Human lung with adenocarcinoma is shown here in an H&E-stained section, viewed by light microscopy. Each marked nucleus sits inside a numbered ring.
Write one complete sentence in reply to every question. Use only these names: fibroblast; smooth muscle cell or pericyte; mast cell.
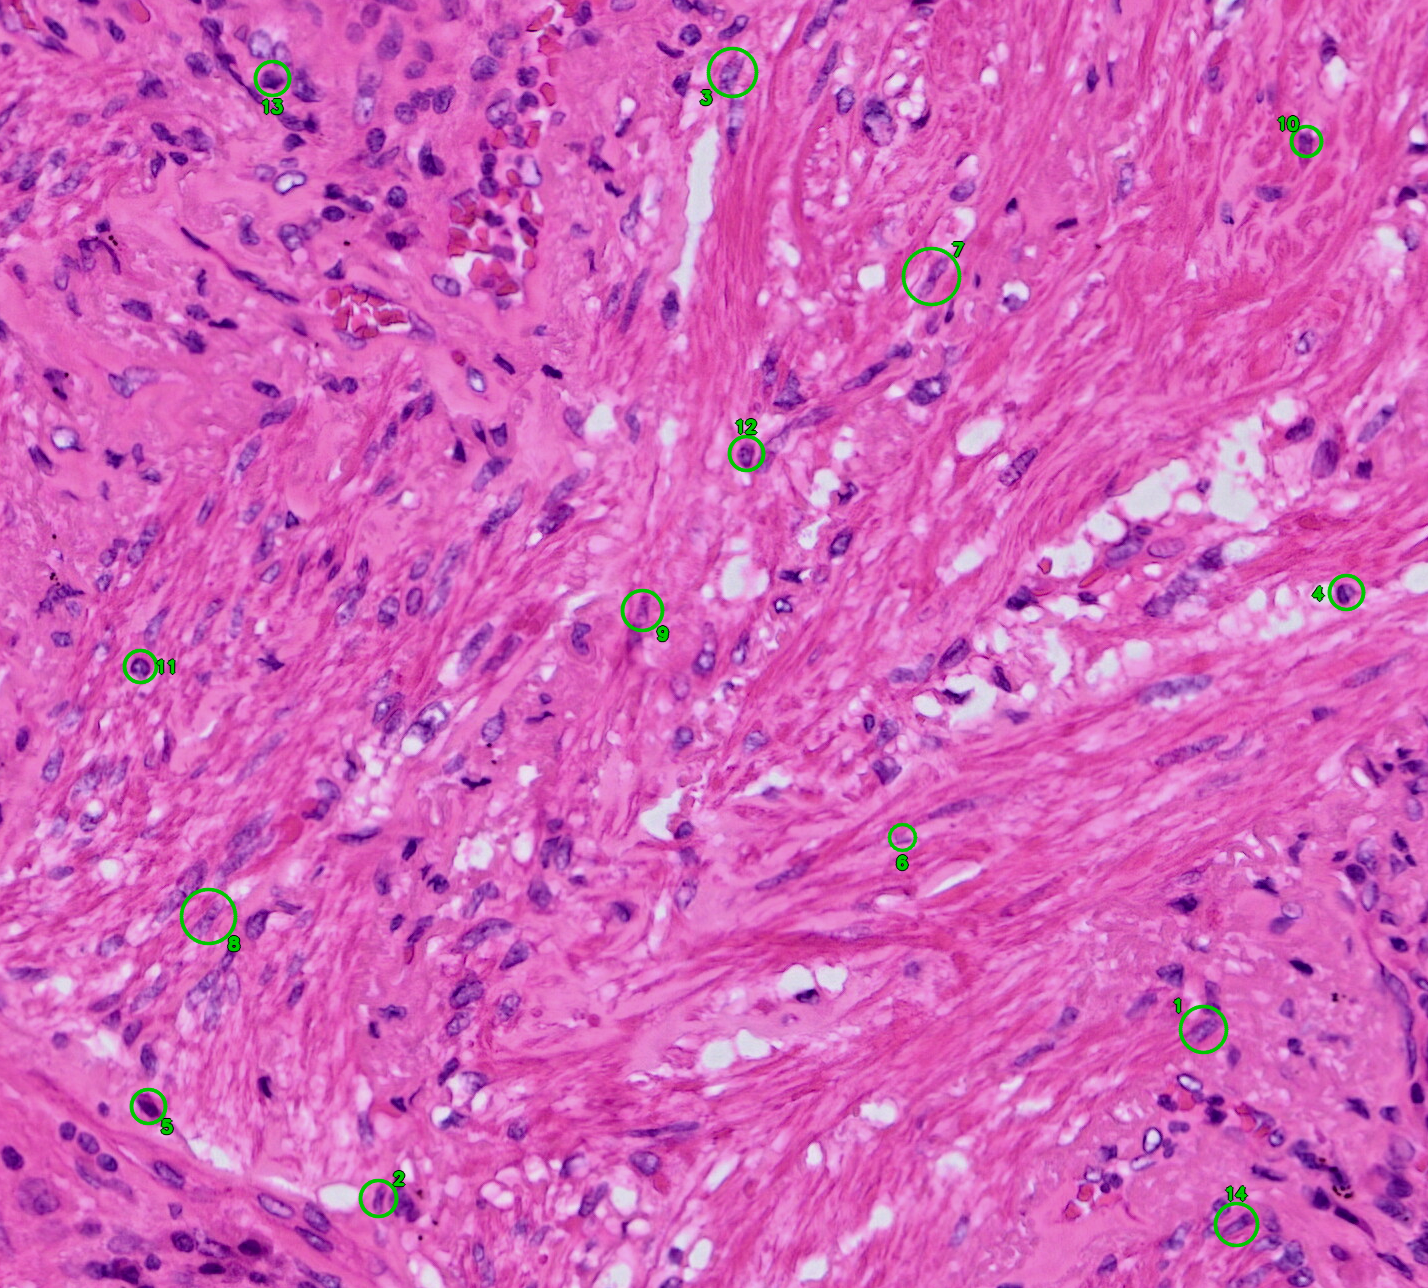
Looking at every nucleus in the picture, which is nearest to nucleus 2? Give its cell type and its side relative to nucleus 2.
A fibroblast lies closest, to the right of nucleus 2.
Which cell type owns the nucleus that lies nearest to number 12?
Number 12 lies closest to the nucleus of a smooth muscle cell or pericyte.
